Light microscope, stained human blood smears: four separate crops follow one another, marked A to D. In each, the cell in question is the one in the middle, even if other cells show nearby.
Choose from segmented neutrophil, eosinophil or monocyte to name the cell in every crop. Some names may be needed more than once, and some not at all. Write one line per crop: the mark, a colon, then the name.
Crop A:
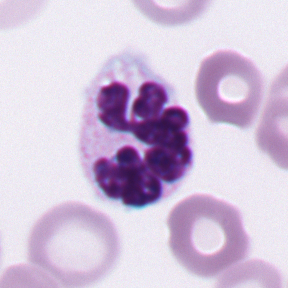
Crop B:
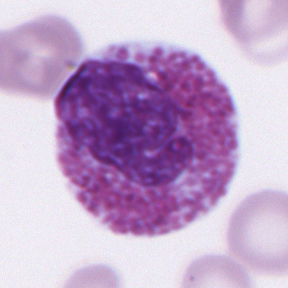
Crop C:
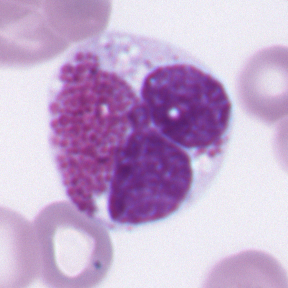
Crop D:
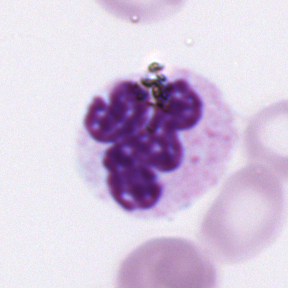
A: segmented neutrophil
B: eosinophil
C: eosinophil
D: segmented neutrophil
